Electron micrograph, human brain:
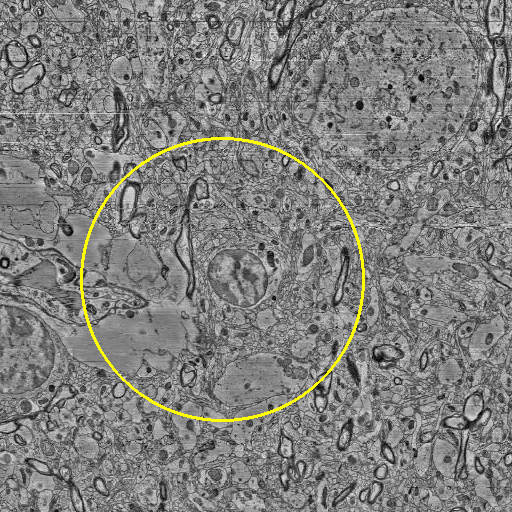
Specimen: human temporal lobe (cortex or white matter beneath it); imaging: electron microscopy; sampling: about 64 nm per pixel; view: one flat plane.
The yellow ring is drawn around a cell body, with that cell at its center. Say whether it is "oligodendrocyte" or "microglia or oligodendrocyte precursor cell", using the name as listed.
microglia or oligodendrocyte precursor cell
